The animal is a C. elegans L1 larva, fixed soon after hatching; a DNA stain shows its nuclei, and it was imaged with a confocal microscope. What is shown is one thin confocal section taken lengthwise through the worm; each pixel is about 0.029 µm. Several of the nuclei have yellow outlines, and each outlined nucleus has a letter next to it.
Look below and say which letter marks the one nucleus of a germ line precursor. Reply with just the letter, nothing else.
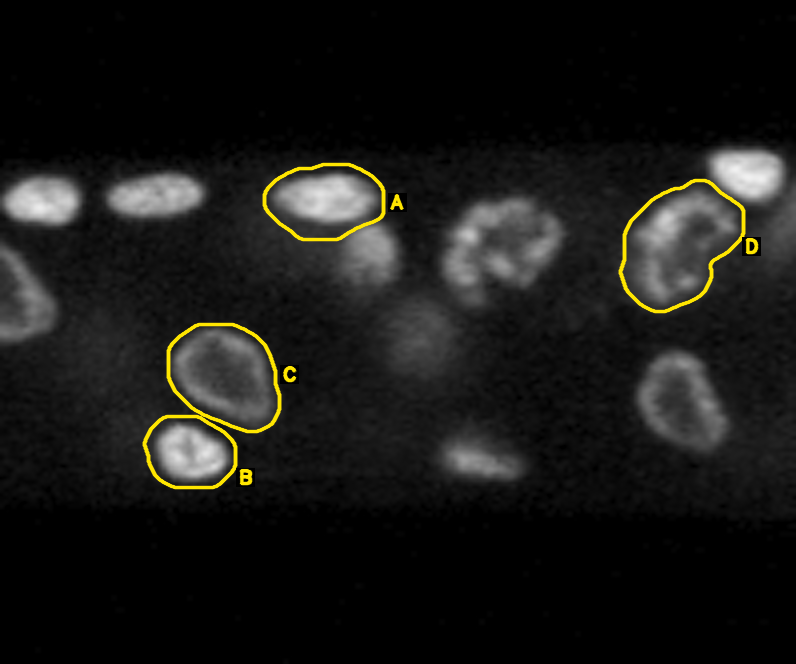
D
